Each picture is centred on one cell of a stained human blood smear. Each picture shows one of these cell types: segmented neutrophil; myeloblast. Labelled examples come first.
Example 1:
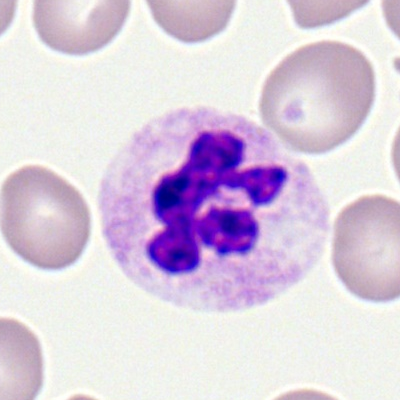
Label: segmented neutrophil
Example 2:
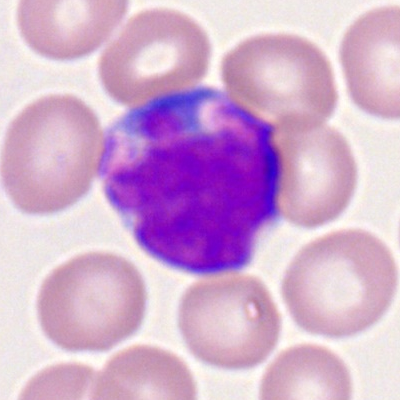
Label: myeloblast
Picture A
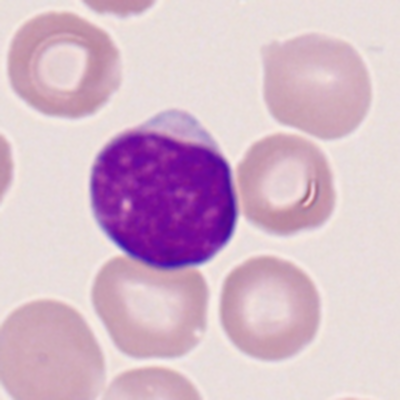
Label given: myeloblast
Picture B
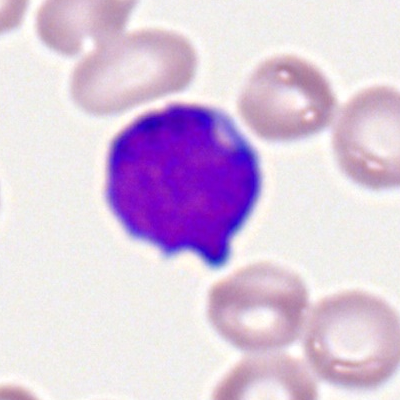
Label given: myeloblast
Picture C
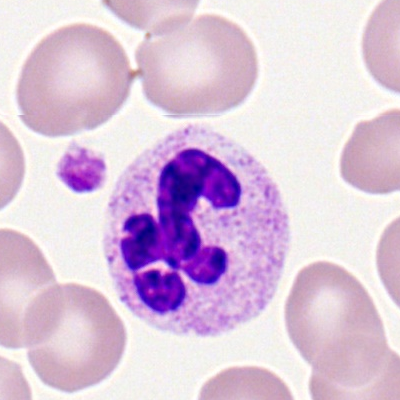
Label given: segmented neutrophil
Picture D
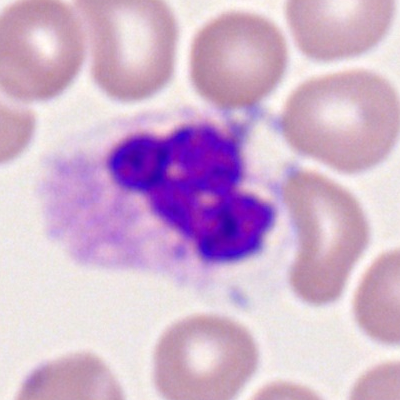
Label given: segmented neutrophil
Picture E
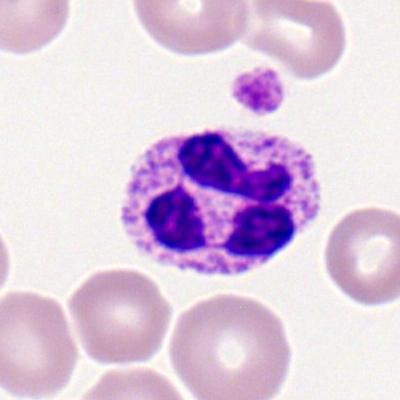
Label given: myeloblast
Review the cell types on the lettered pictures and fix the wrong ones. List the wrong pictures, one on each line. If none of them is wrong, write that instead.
E: change myeloblast to segmented neutrophil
